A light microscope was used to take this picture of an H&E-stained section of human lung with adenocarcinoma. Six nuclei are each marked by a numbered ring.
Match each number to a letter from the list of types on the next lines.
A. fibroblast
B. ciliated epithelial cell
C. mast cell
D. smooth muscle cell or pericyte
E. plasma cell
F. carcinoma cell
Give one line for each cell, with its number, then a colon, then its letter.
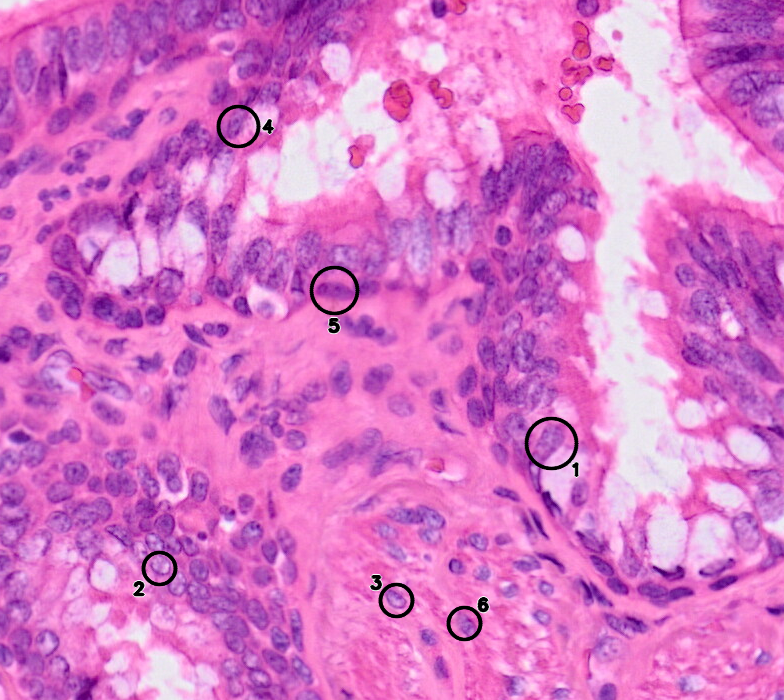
1: B
2: B
3: D
4: B
5: B
6: D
